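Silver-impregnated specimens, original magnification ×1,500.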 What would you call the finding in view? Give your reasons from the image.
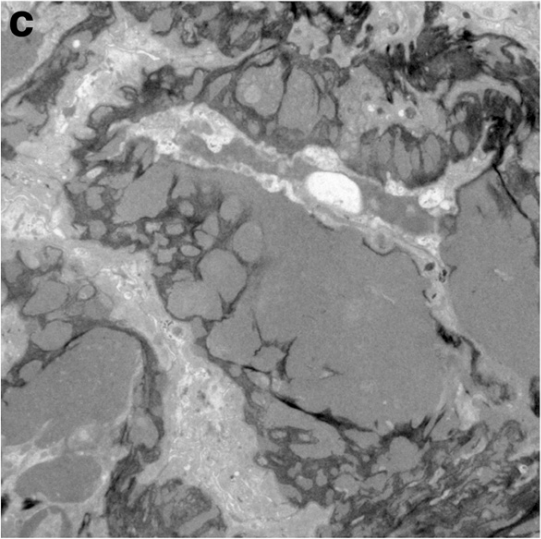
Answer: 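The strands weave around many rounded grey masses, leaving no smooth continuous band.
Disrupted, reticulated and woven appearance.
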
